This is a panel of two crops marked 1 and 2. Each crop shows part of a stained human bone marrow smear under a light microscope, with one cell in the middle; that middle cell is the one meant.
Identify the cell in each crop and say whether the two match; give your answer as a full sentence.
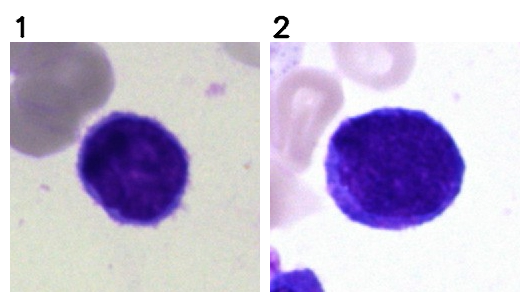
No, in fact crop 1 shows a lymphocyte, and crop 2 shows a blast.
